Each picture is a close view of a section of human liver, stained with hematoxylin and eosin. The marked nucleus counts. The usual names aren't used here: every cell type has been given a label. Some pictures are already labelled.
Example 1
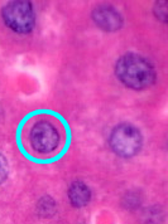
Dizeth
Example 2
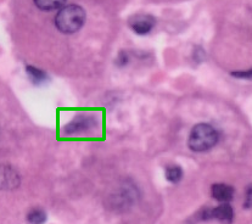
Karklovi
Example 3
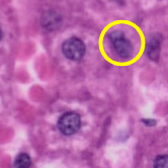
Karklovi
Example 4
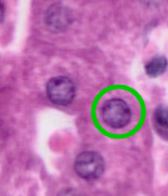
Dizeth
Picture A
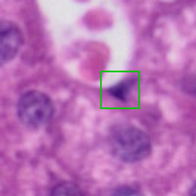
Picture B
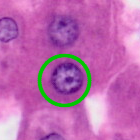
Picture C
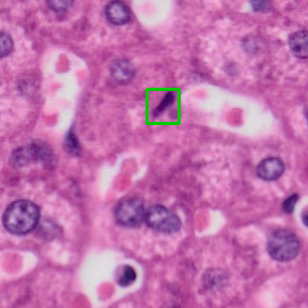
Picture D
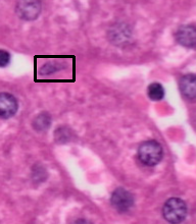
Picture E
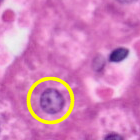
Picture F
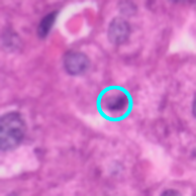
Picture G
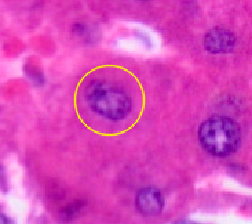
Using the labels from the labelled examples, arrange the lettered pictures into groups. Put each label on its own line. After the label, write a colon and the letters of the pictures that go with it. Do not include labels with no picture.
Dizeth: B, E, G
Karklovi: A, C, D, F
